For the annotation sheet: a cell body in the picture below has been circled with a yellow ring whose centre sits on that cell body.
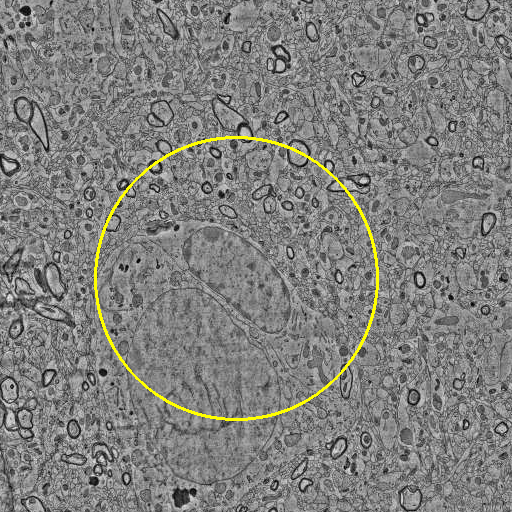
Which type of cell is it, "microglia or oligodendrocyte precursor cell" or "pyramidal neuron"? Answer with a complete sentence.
The circled cell is a microglial cell or oligodendrocyte precursor cell.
